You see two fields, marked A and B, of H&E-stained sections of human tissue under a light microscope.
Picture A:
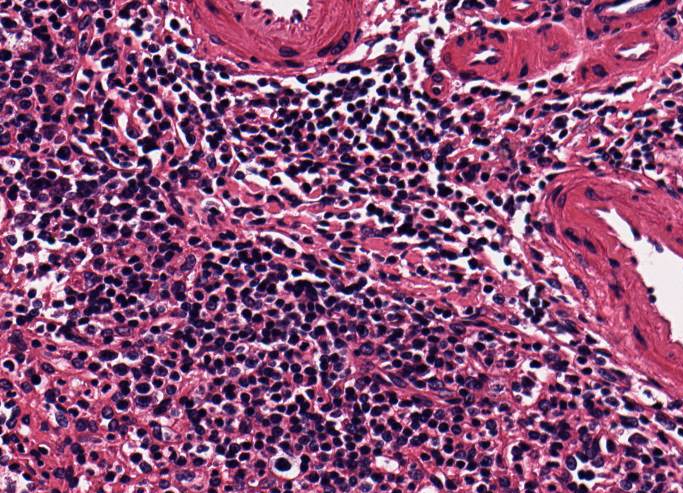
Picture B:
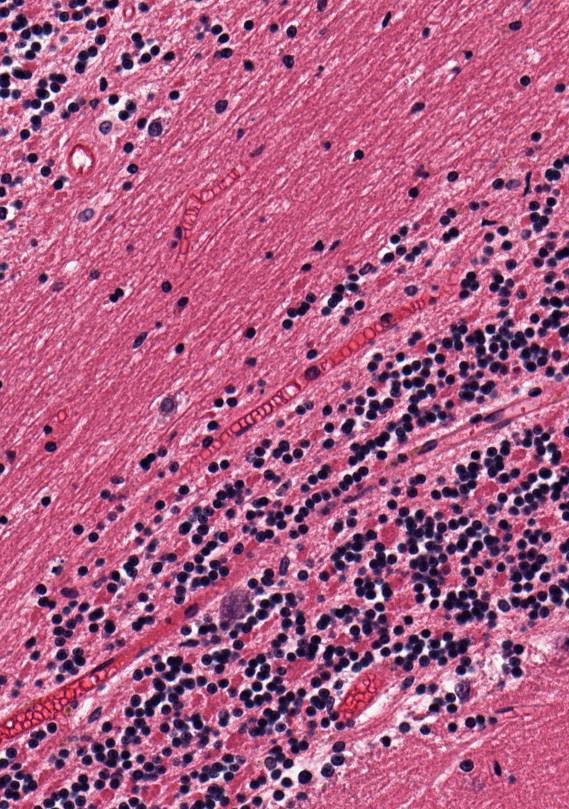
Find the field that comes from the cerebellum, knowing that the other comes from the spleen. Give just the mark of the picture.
B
